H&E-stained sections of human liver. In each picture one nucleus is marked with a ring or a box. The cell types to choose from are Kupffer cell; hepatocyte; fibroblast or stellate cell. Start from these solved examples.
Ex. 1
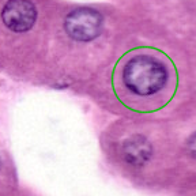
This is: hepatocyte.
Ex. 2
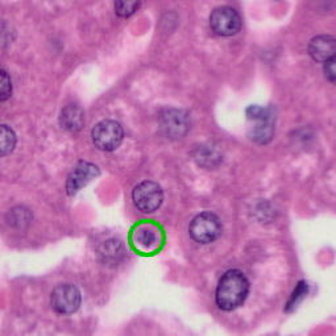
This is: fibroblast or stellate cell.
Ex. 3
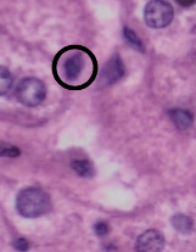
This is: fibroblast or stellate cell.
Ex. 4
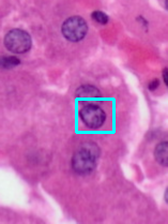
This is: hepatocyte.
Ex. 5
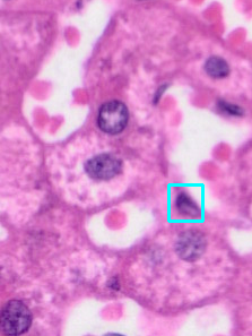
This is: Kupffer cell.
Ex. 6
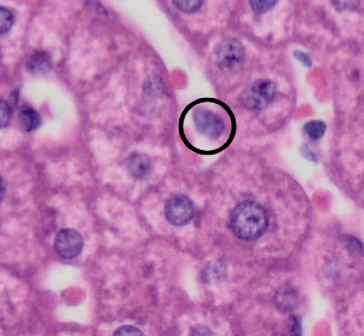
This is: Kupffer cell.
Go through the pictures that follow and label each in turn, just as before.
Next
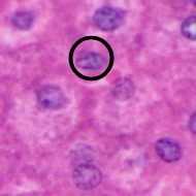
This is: Kupffer cell.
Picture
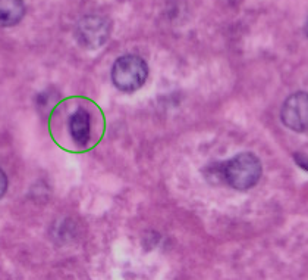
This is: fibroblast or stellate cell.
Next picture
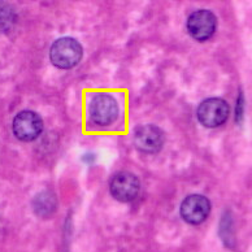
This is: hepatocyte.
